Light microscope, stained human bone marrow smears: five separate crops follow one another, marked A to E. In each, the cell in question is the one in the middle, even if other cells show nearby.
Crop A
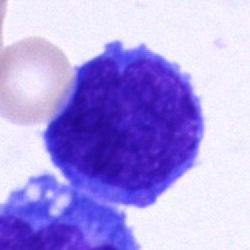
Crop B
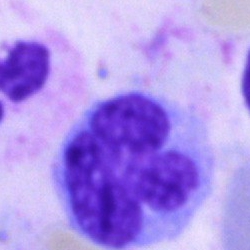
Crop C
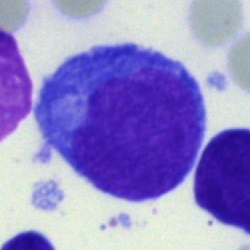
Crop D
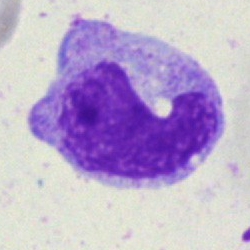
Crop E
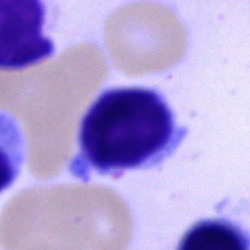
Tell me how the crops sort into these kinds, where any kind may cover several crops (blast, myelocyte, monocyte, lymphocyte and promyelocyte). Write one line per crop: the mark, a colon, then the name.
A: blast
B: monocyte
C: blast
D: monocyte
E: lymphocyte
